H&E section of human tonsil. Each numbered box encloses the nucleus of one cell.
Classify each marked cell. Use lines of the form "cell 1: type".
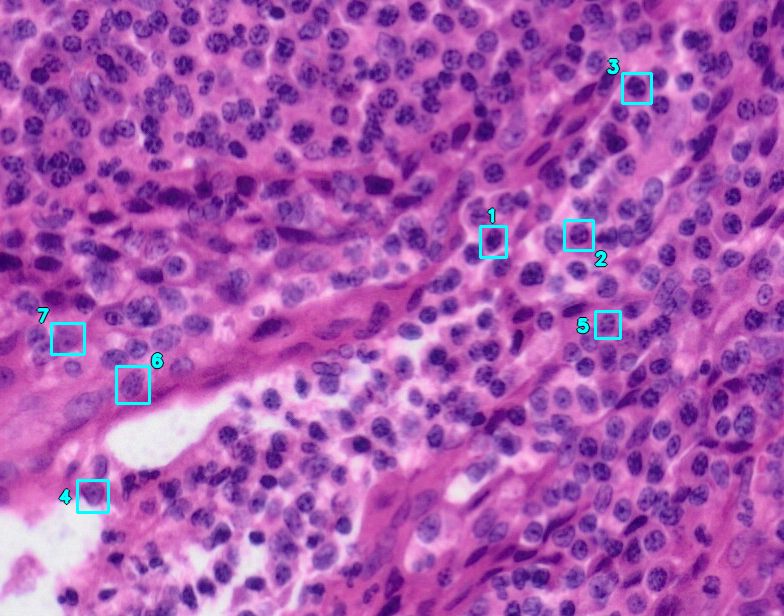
cell 1: plasma cell
cell 2: plasma cell
cell 3: plasma cell
cell 4: squamous epithelial cell
cell 5: plasma cell
cell 6: squamous epithelial cell
cell 7: squamous epithelial cell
